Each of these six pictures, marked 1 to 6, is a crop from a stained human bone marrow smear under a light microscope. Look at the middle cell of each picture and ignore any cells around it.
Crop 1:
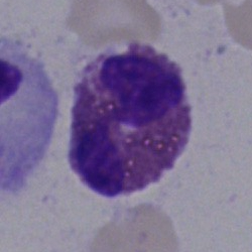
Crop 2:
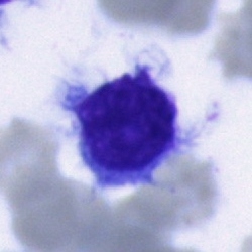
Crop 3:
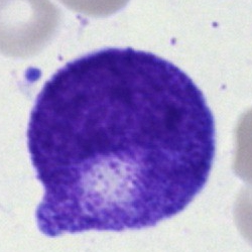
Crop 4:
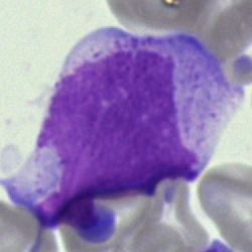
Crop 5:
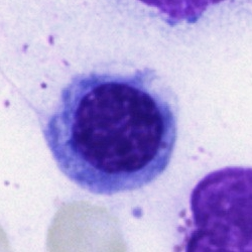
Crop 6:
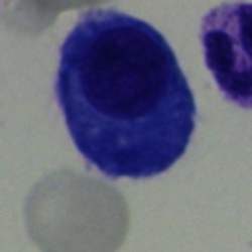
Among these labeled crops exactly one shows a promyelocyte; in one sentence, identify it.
Crop 3, of the crops presented, is the one showing a promyelocyte.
